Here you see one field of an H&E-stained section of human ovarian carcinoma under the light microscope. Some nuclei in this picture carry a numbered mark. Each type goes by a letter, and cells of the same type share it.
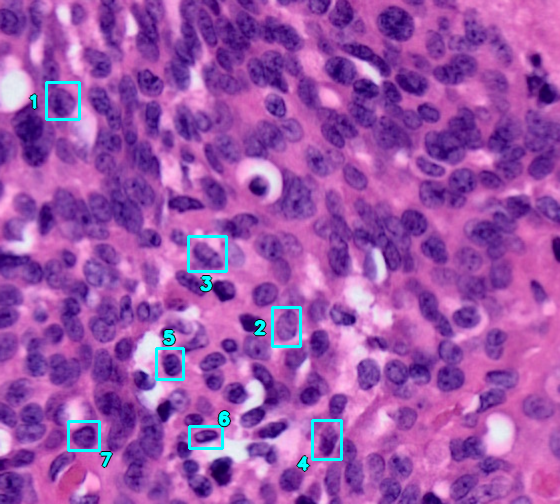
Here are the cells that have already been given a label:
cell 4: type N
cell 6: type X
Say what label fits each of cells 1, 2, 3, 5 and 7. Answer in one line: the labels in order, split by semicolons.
type N; type X; type X; type X; type N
